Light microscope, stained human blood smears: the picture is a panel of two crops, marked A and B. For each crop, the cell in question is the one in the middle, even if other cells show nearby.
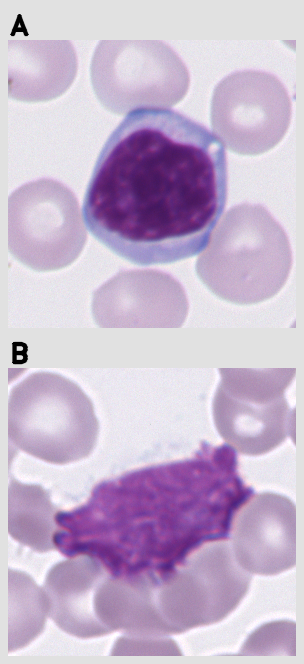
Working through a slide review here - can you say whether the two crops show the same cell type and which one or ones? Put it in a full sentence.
No, a typical lymphocyte lies at the centre of crop A, and a smudge cell lies at the centre of crop B.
